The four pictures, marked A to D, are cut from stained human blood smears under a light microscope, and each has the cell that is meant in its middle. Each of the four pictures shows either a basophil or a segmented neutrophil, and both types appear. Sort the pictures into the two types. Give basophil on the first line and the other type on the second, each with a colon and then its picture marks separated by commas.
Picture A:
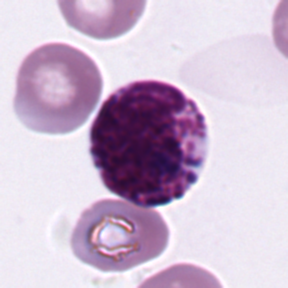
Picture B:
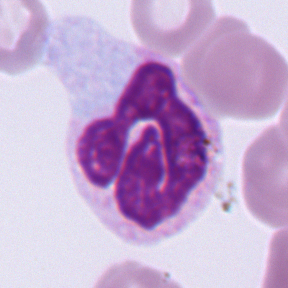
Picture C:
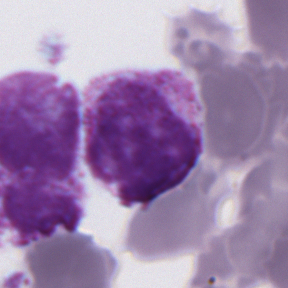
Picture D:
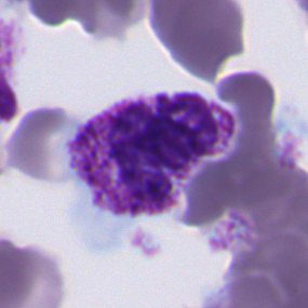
basophil: A, C, D
segmented neutrophil: B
